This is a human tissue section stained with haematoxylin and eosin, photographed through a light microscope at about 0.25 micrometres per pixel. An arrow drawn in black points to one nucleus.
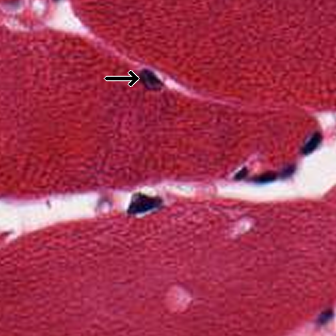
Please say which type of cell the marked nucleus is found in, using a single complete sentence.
As shown, the marked nucleus belongs to a skeletal muscle fibre.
